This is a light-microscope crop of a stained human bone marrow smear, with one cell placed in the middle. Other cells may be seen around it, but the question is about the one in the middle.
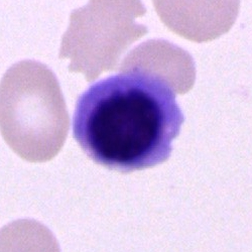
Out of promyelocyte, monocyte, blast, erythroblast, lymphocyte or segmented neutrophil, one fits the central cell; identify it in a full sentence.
The cell at the middle of the crop is recognized as an erythroblast.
